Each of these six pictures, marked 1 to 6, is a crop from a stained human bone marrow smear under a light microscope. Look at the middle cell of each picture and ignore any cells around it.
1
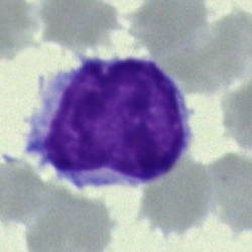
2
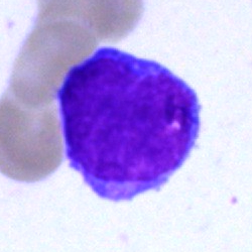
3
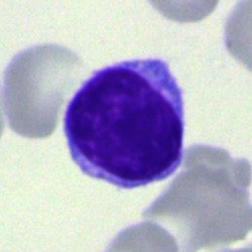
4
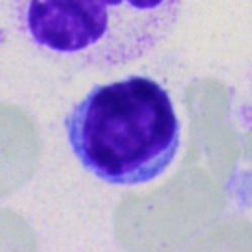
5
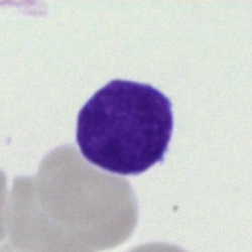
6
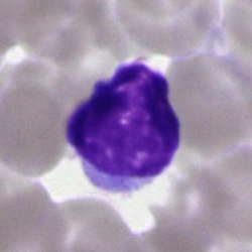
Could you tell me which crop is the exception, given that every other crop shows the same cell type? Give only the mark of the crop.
2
